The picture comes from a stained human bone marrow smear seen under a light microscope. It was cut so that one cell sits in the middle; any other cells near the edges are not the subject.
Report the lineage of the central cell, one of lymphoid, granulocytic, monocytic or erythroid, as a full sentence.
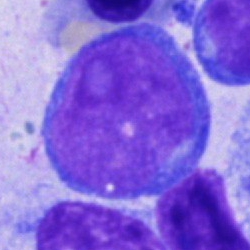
The erythroid lineage includes the cell at the center of the crop.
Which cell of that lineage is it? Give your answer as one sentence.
Seen at the centre of the crop is a proerythroblast.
